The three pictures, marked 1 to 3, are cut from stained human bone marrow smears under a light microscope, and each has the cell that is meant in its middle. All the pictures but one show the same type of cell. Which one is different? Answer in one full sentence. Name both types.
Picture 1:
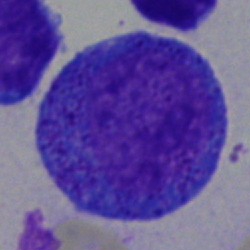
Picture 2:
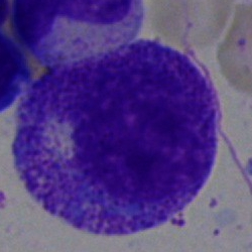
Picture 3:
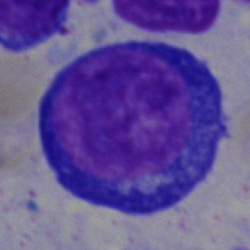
Unlike the rest, which show promyelocytes, picture 3 shows a proerythroblast.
